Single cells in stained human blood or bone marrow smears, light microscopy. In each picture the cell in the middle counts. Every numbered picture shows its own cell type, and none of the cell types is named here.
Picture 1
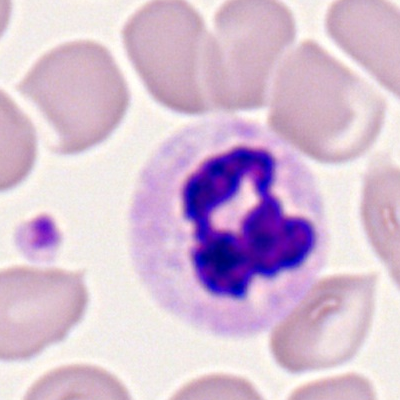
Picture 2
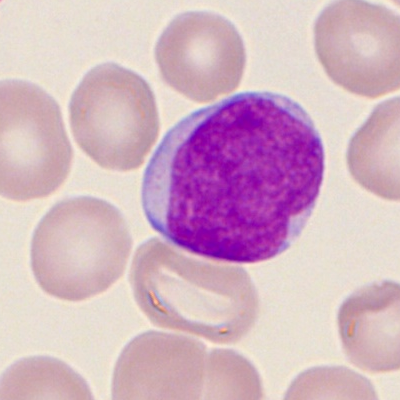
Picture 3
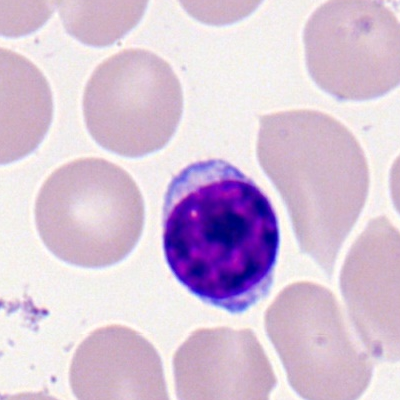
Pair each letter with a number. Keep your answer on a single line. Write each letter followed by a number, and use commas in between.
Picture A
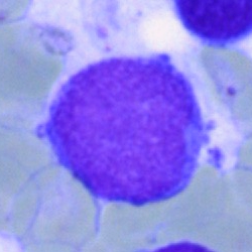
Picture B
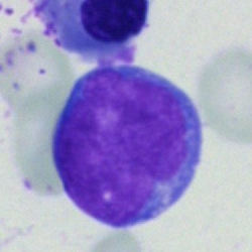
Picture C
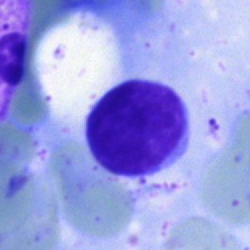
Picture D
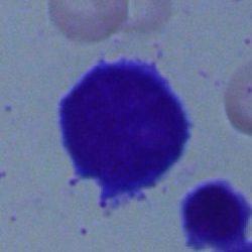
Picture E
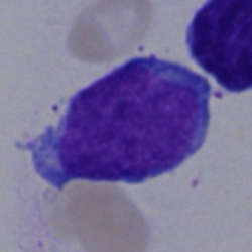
A 2, B 2, C 3, D 2, E 2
